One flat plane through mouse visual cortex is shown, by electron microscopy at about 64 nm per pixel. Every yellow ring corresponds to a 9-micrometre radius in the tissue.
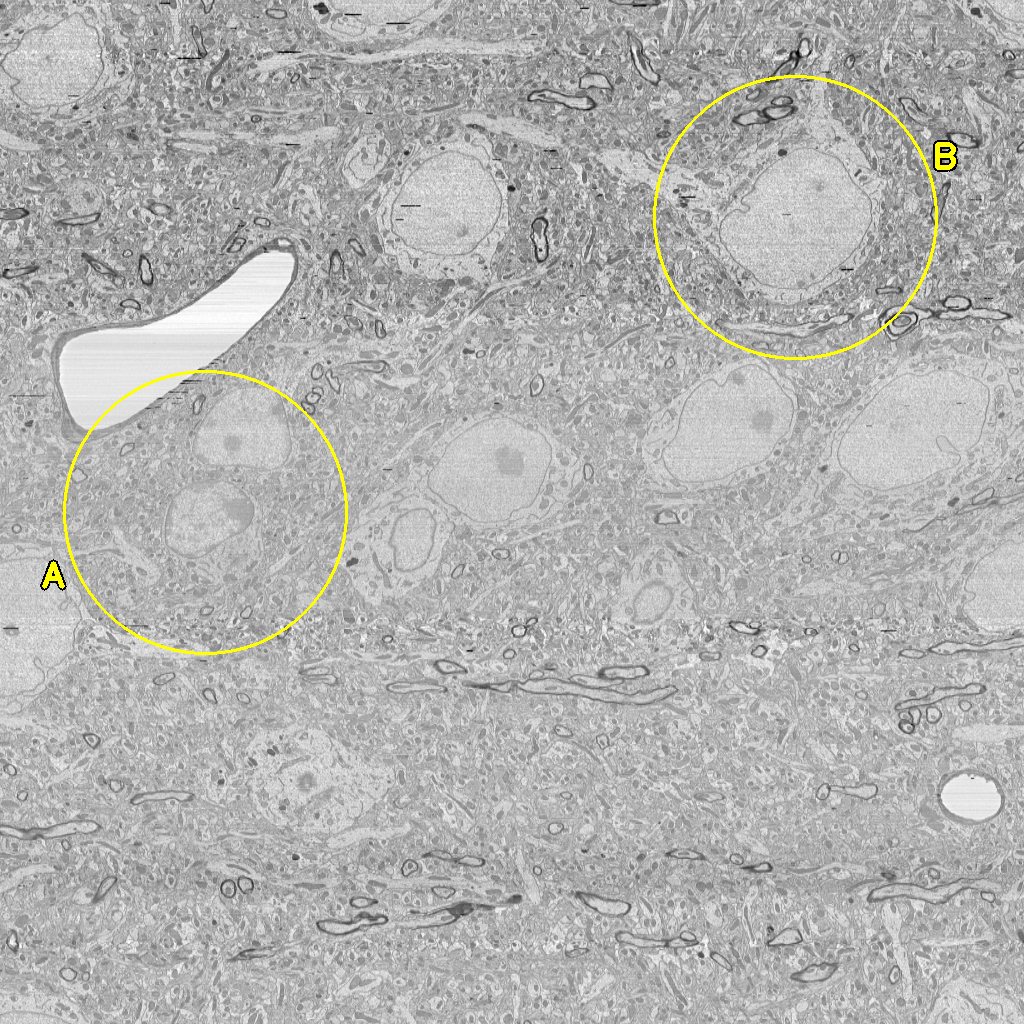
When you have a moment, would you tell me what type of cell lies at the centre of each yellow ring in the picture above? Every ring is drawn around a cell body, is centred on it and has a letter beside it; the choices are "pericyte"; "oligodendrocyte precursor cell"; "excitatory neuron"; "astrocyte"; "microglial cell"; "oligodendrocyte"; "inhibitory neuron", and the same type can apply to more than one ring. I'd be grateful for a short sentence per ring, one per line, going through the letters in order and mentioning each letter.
The cell at the centre of ring A is an oligodendrocyte.
The cell at the centre of ring B is an excitatory neuron.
